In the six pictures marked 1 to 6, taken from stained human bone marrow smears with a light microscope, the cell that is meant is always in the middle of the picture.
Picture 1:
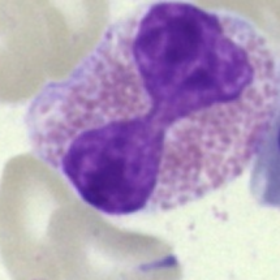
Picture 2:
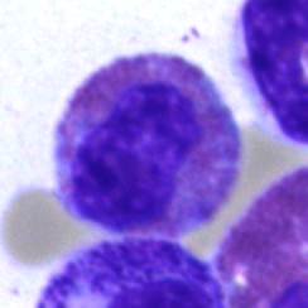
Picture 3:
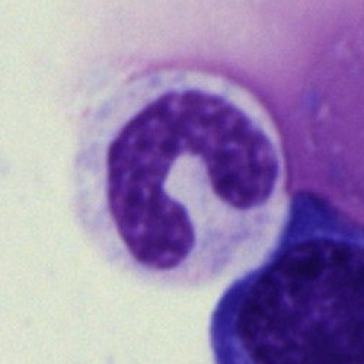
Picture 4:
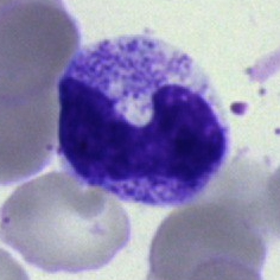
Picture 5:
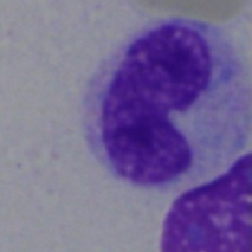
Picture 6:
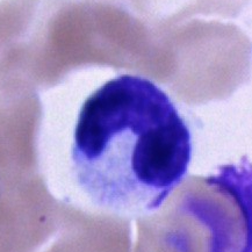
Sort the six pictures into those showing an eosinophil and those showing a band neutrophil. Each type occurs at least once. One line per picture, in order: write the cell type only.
eosinophil
eosinophil
band neutrophil
band neutrophil
band neutrophil
band neutrophil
